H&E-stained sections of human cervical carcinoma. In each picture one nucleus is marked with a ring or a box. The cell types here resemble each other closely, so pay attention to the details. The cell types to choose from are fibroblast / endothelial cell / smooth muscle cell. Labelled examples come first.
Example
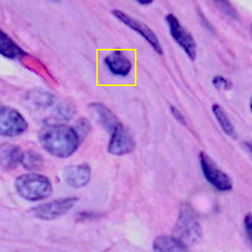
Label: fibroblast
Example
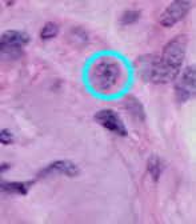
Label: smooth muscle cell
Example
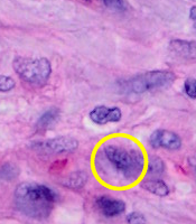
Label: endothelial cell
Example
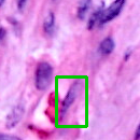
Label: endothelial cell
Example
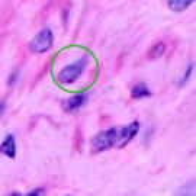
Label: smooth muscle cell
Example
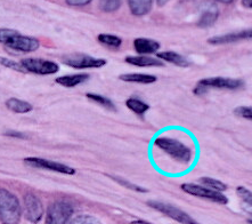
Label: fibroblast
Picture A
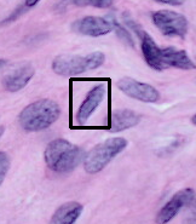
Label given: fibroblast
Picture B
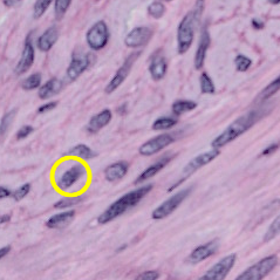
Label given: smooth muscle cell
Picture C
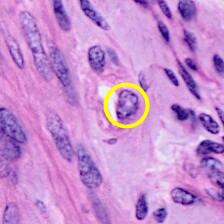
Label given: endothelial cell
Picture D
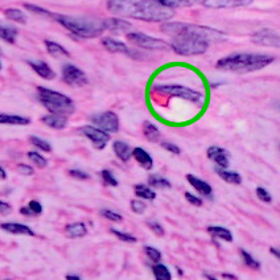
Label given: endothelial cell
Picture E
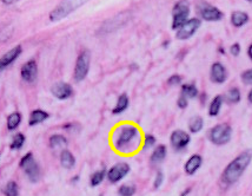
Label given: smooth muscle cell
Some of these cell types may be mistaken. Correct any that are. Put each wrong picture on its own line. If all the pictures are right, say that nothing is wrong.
None of the labels needs changing.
